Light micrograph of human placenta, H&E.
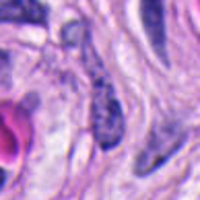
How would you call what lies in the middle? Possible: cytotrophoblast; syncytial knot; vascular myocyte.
I would call it a vascular myocyte.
